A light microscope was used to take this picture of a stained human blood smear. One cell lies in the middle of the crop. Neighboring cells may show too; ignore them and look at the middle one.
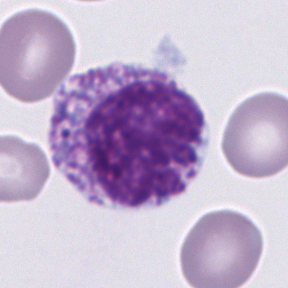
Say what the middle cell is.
basophil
